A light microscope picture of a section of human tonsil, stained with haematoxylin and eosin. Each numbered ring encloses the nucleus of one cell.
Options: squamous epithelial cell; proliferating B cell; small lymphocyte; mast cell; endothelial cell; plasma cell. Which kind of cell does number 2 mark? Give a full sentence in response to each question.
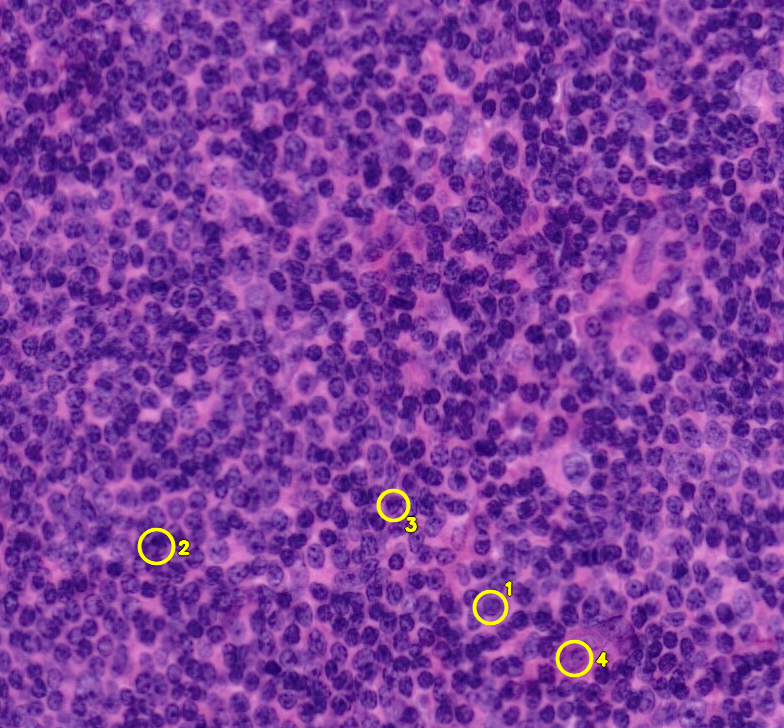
The cell that is numbered 2 is a small lymphocyte.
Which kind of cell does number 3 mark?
The cell carrying label 3 is identified as a small lymphocyte.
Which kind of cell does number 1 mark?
The correct answer for cell 1 is a small lymphocyte.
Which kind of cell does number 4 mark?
Cell 4 in the field is an endothelial cell.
